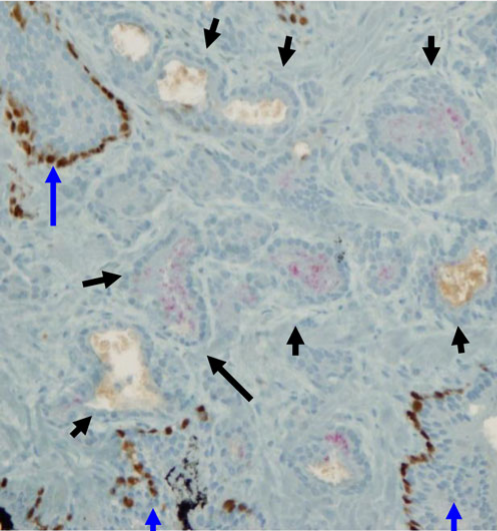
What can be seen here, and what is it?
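Prostate tissue with many small, crowded glands of prostatic adenocarcinoma set in blue-grey stroma, next to larger benign glands at the edges of the field. The benign glands are rimmed by a continuous outer row of brown-stained nuclei. The small glands lack this brown rim and show faint red granular staining in their lining cells. Several of their lumina contain pale brown material.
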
